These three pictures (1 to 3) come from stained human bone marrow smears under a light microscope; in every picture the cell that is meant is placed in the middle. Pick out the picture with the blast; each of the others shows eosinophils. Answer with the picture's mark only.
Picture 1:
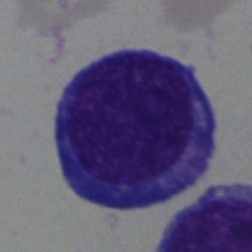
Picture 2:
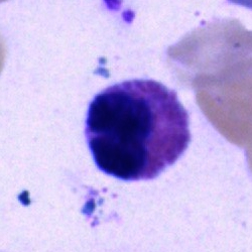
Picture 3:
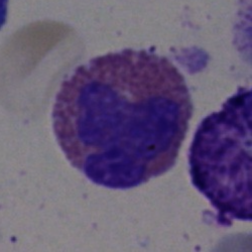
1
